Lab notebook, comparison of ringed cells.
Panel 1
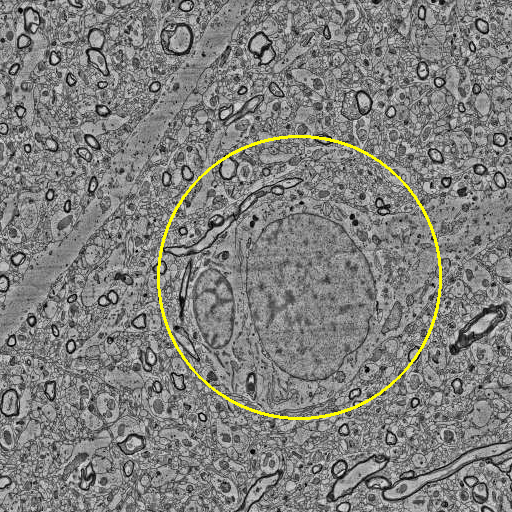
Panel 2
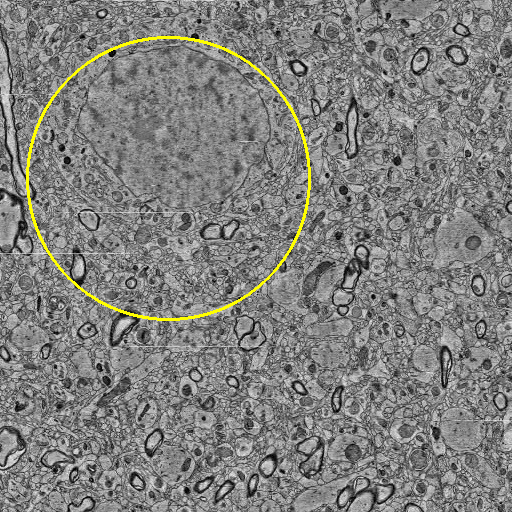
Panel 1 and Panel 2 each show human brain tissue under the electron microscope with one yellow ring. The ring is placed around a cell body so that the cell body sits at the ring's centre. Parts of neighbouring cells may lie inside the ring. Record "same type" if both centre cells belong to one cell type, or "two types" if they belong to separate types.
two types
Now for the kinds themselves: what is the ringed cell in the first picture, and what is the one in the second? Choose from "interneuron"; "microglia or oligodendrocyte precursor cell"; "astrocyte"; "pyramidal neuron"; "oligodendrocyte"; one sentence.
Here the first cell is a pyramidal neuron and the second cell is an interneuron.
